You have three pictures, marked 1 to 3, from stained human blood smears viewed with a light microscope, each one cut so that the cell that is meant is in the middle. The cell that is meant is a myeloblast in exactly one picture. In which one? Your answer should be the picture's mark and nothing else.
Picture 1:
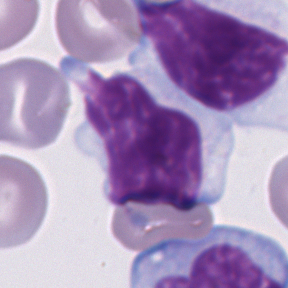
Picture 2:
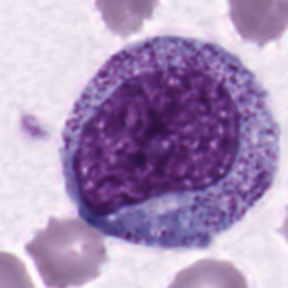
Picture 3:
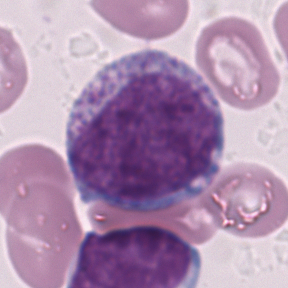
1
